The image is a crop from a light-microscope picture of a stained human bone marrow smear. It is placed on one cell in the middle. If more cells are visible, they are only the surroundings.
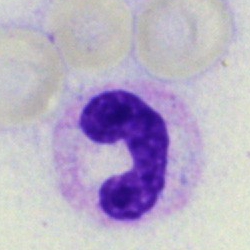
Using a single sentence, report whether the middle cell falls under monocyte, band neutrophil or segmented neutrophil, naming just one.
The cell featured at the centre of this crop is a band neutrophil.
